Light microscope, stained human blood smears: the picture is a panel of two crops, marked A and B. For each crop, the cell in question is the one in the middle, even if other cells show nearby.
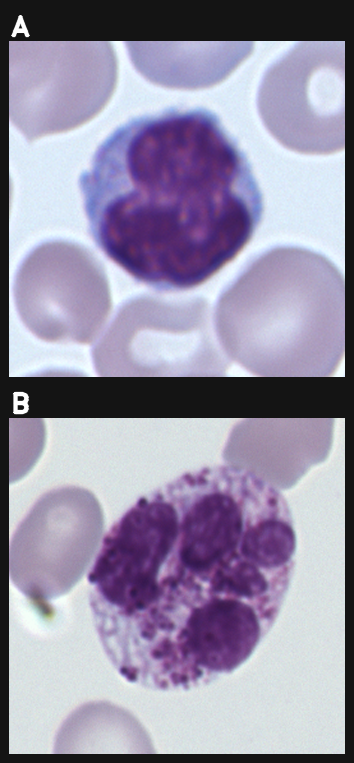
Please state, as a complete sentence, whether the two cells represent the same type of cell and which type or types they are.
No, crop A and crop B show a typical lymphocyte and a basophil respectively.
